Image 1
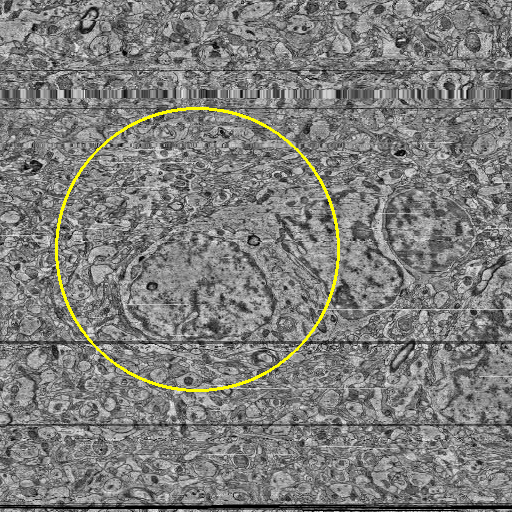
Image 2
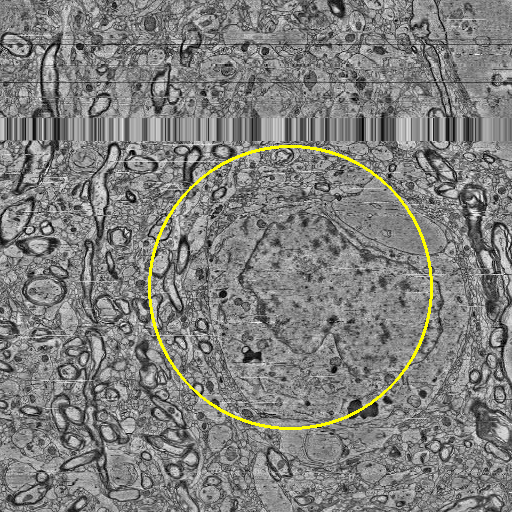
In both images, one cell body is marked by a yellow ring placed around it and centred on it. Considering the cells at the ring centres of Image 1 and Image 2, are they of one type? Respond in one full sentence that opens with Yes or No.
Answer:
Yes, a single type applies to the ring-centred cells of both Image 1 and Image 2.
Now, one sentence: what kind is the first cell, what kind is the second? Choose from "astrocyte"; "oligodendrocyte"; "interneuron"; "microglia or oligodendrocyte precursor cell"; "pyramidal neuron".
Both rings mark an interneuron, one in each picture.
